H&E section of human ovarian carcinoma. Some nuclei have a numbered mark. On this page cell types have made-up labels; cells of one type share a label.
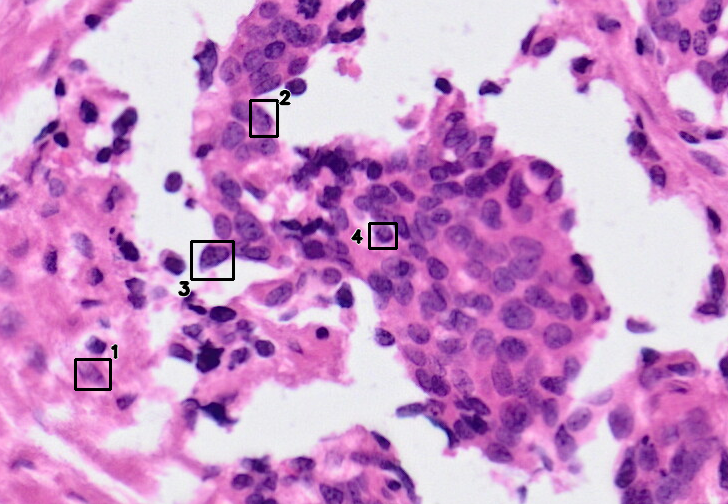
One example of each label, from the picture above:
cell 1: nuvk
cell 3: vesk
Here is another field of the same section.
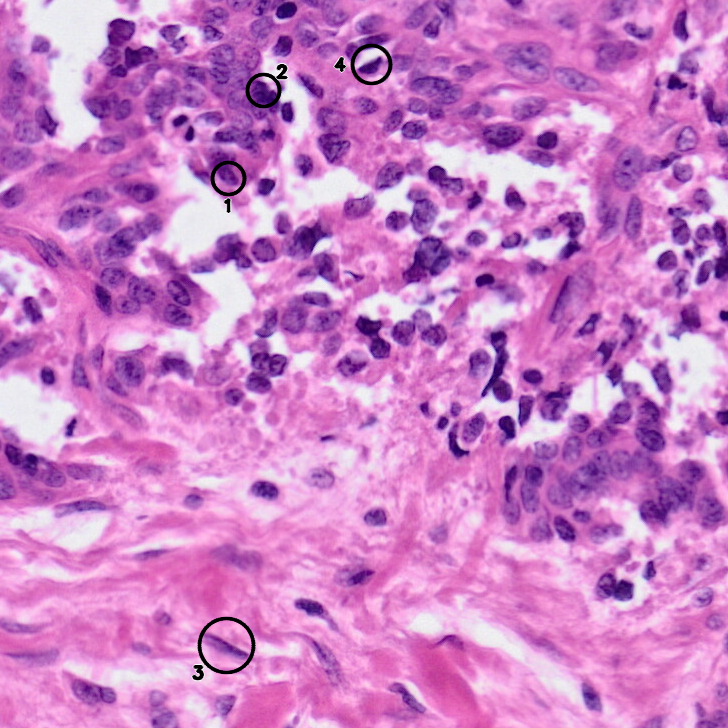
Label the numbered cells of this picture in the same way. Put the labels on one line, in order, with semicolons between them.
vesk; vesk; nuvk; vesk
